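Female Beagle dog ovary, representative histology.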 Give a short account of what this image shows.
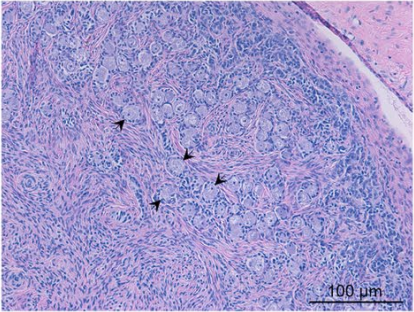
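Ovarian cortex with small follicles in a dense stroma of spindle-shaped cells with dark elongated nuclei. Small round pale oocytes lie grouped in the outer cortex, each with little surrounding epithelium. Small follicles lie scattered among the stromal cells. No large follicles with a thick ring of granulosa cells are seen in the field. A thin surface layer runs along the upper right edge.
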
